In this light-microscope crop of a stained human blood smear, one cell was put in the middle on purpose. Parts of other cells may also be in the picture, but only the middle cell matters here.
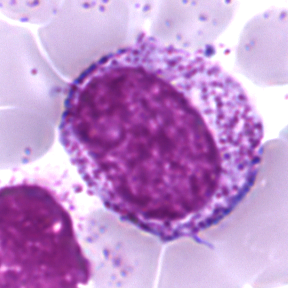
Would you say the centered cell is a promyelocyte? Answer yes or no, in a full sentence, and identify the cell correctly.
No, the cell placed at the center is a myelocyte rather than a promyelocyte.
